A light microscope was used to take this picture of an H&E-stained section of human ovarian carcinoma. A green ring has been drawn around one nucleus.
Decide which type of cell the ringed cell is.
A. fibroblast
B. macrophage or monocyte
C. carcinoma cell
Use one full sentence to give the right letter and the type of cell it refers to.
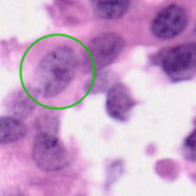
Identified correctly by option C, the ringed cell is a carcinoma cell.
